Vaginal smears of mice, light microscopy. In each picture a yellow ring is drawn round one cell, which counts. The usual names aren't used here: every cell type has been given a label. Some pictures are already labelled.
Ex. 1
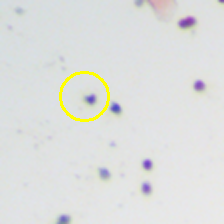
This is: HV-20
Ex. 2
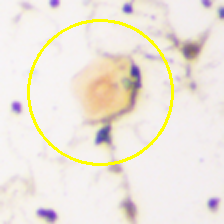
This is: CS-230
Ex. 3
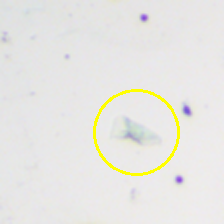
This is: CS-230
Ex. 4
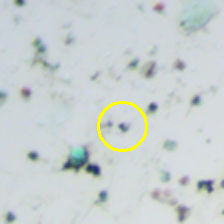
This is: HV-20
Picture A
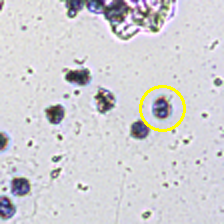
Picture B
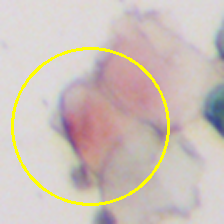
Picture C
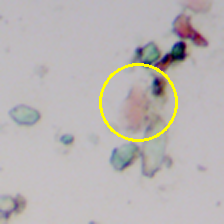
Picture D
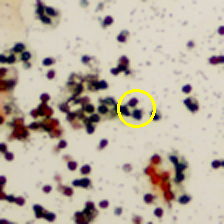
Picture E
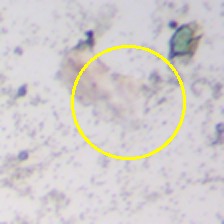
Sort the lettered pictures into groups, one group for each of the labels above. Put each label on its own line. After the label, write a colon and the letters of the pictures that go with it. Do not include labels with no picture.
HV-20: A, D
CS-230: B, C, E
